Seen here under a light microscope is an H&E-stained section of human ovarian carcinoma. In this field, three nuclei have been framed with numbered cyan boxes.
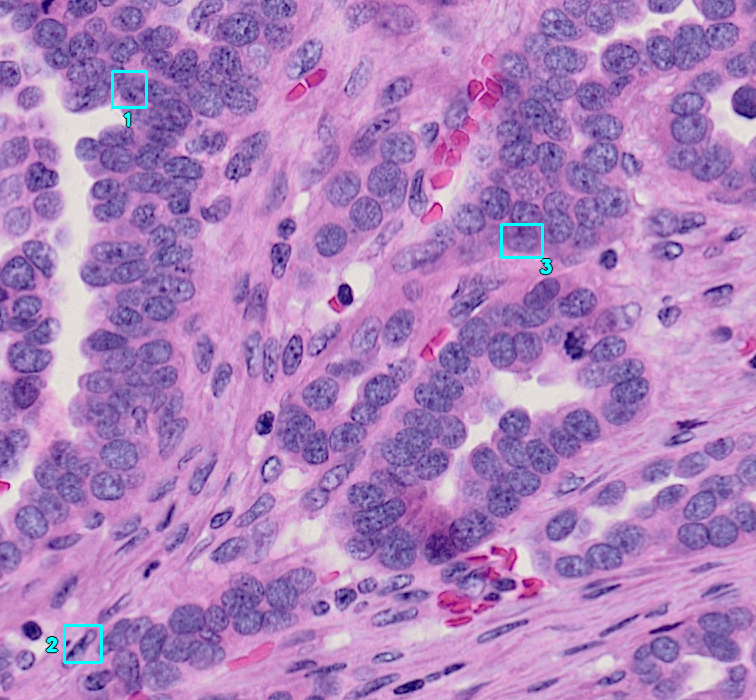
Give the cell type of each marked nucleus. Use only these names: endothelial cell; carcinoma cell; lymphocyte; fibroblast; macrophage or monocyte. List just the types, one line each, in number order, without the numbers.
carcinoma cell
fibroblast
carcinoma cell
